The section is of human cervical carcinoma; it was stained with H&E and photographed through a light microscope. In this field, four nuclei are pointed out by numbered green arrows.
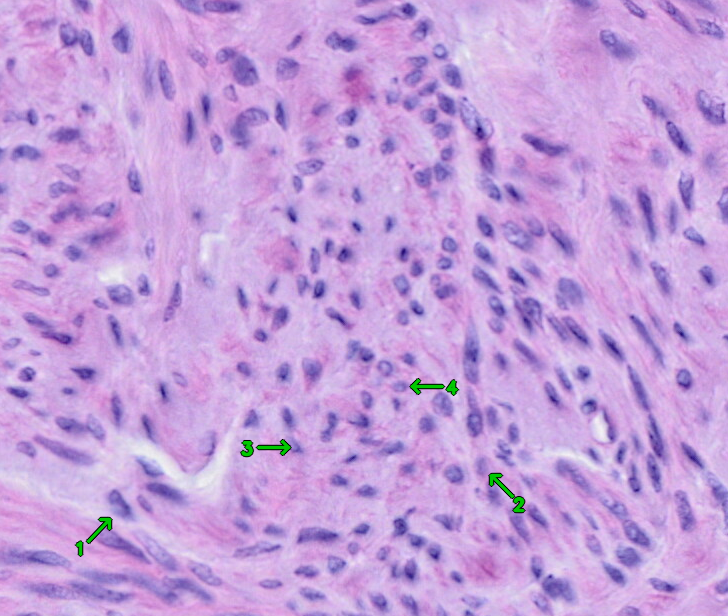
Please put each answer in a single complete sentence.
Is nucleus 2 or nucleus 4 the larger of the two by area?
At about 2.5 times the area of nucleus 4, nucleus 2 is the larger of the two.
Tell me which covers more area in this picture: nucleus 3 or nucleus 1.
Nucleus 1 is the larger one, covering about 3 times the area of nucleus 3.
